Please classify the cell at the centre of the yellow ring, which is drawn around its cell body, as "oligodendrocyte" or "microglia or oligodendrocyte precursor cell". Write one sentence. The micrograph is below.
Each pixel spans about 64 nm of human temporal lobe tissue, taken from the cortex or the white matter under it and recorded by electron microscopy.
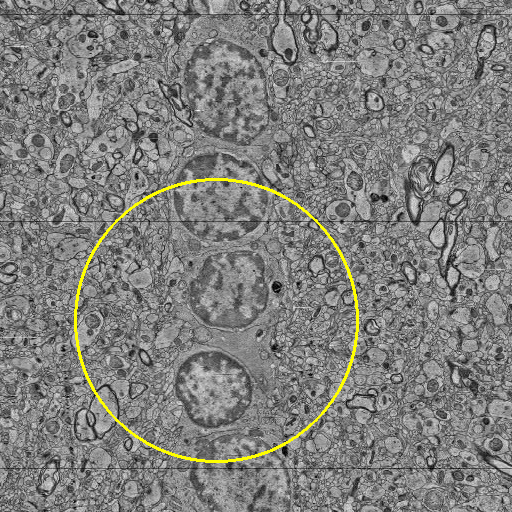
The cell at the ring's centre is classified as an oligodendrocyte.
